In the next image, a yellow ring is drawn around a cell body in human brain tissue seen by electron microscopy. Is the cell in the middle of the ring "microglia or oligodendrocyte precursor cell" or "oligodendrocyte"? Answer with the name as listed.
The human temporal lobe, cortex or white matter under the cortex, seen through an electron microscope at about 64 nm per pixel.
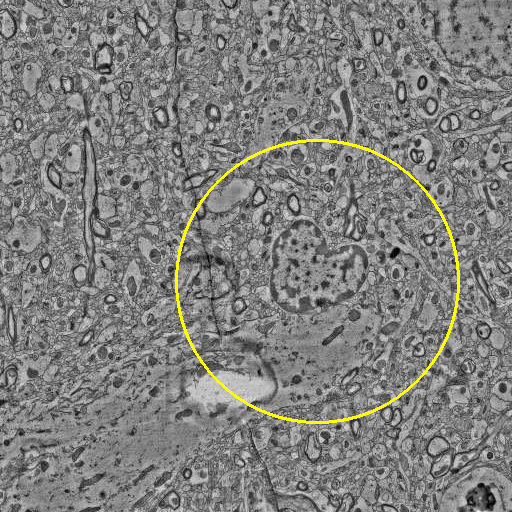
microglia or oligodendrocyte precursor cell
